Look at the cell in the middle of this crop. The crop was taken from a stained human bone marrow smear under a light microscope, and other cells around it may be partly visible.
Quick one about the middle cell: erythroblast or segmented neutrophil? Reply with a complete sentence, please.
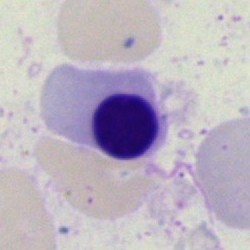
The cell sitting right in the middle is an erythroblast.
